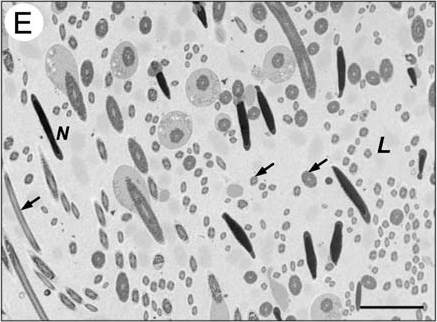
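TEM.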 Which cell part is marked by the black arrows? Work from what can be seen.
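Tails. The arrows point to small round or elongated profiles with a dark ring. Many such small profiles are scattered among larger dense elongated bodies.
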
